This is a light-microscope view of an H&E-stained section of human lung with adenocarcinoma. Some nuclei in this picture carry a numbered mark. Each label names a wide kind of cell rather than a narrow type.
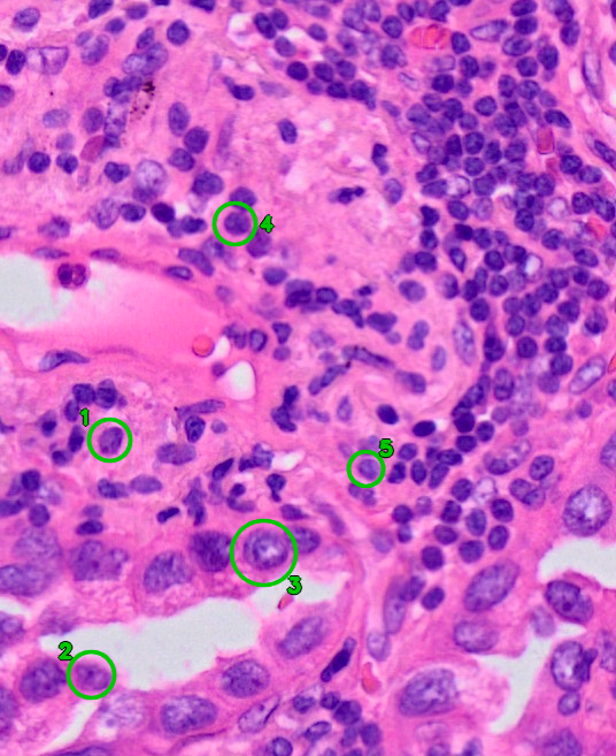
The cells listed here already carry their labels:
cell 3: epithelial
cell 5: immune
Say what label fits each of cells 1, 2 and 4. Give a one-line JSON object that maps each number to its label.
{"1": "immune", "2": "epithelial", "4": "immune"}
